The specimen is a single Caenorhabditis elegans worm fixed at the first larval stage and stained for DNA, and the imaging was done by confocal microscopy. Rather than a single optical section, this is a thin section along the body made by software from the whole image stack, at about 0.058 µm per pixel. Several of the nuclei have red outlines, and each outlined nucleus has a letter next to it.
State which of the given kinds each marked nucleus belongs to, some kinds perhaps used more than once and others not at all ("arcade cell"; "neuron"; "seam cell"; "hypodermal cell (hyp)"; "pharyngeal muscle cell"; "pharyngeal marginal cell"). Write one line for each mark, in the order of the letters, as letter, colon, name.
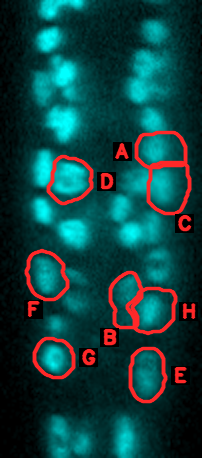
A: neuron
B: pharyngeal muscle cell
C: neuron
D: pharyngeal muscle cell
E: hypodermal cell (hyp)
F: seam cell
G: arcade cell
H: arcade cell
